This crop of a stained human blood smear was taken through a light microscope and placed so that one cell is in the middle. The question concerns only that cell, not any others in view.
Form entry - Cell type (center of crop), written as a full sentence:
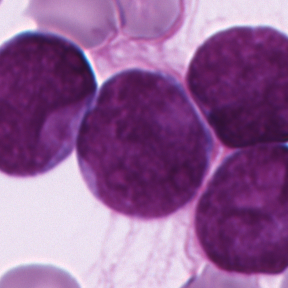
In the central position of this crop, the cell is a myeloblast.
